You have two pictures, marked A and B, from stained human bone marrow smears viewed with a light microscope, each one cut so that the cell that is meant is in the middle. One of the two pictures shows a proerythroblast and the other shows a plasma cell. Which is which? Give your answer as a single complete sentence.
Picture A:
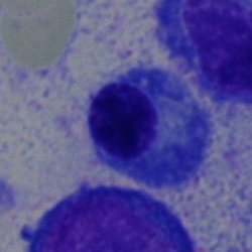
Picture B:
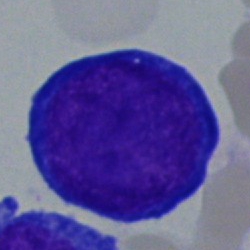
Picture A is of a plasma cell, and picture B is of a proerythroblast.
